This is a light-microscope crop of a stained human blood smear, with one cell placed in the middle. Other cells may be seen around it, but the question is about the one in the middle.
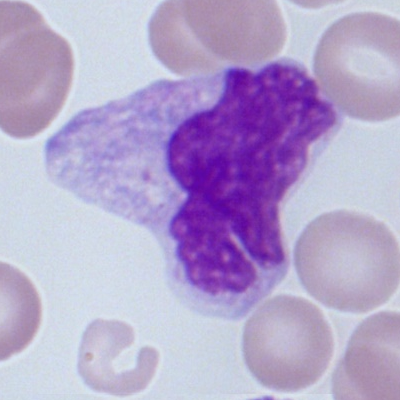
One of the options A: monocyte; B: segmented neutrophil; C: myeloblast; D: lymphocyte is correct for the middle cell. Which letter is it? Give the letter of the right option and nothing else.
A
